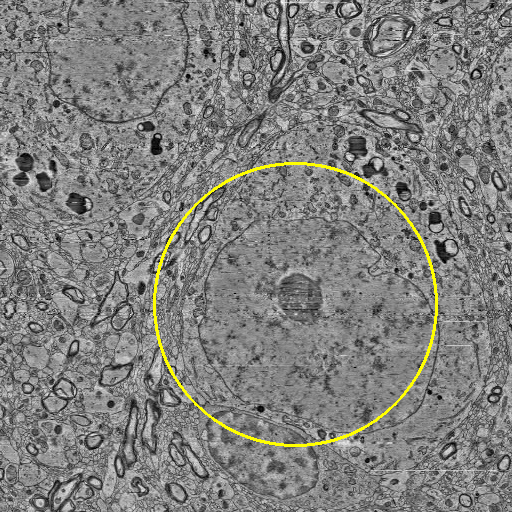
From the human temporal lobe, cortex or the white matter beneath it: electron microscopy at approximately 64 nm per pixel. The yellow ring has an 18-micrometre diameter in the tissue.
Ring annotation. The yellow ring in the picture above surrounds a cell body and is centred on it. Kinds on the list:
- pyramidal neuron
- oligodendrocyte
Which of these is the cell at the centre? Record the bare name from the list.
pyramidal neuron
